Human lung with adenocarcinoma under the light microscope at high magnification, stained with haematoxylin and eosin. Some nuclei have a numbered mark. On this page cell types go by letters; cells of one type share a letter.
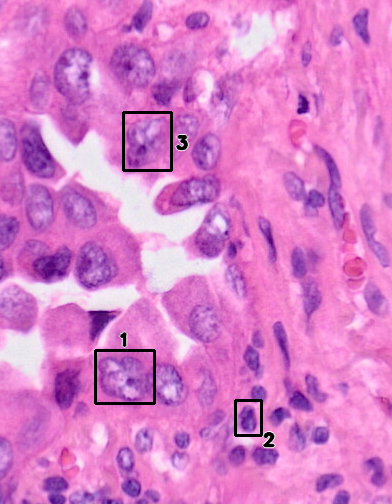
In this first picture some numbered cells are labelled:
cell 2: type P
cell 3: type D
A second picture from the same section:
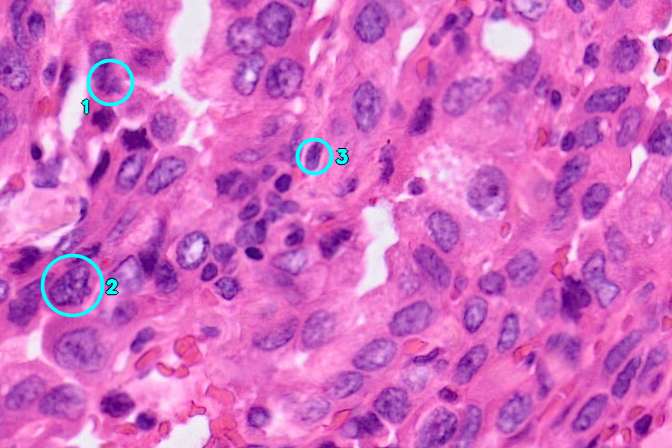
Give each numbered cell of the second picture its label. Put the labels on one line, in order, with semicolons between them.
type D; type D; type P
